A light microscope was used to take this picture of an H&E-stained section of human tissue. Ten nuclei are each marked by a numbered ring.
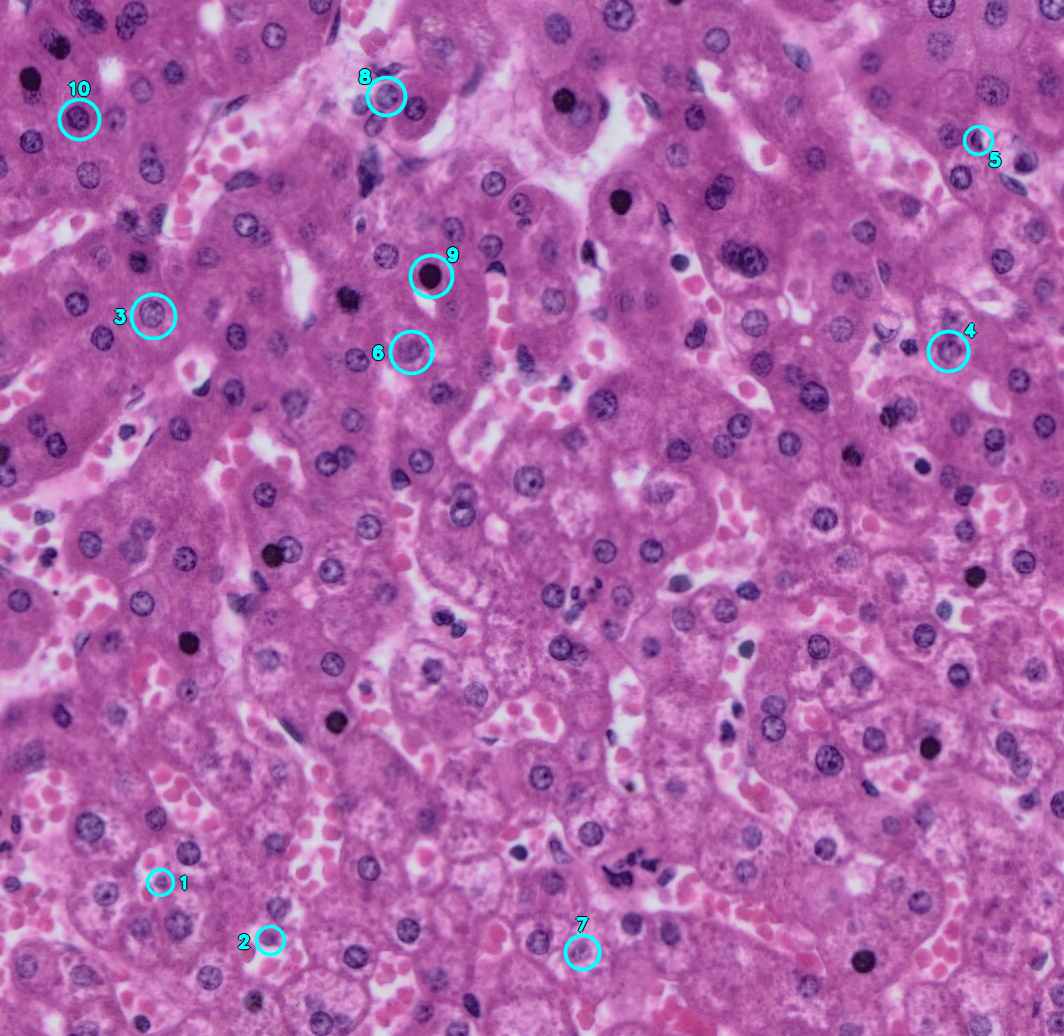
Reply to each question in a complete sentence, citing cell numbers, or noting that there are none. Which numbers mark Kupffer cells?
Of all the cells bearing numbers, cell 2 is the only one that is a Kupffer cell.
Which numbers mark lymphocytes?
The cell marked by number 1 is a lymphocyte; the other marked cells are not.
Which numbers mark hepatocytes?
The cells numbered 3, 4, 6, 7, 9 and 10 are of the kind known as hepatocytes.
